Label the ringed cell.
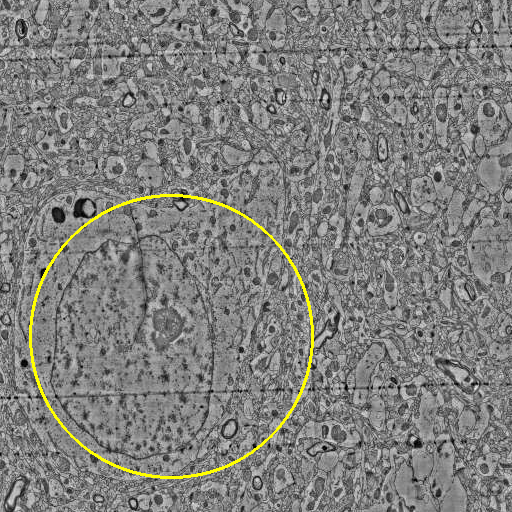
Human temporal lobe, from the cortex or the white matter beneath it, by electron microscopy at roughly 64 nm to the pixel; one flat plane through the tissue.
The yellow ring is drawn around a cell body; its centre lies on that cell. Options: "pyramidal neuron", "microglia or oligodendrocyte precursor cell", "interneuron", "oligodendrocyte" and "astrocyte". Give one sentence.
The ringed cell is a pyramidal neuron.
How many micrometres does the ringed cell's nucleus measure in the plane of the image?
The ringed cell's nucleus is about 14 micrometres long and 11 micrometres wide in this plane.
